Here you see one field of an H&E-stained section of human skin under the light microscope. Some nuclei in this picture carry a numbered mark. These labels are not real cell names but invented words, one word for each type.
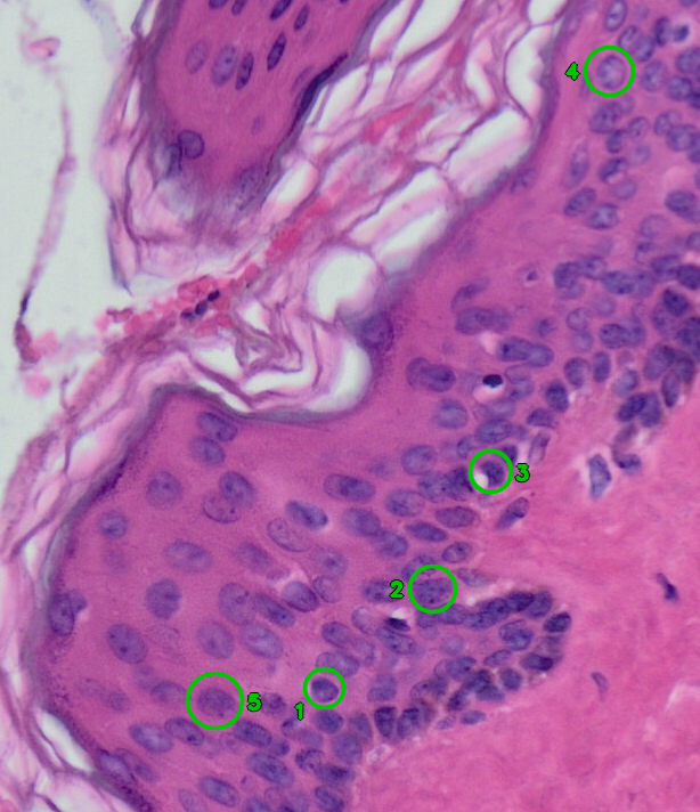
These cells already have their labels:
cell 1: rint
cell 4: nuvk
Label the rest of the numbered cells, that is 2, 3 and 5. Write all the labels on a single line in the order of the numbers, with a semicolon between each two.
rint; rint; nuvk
